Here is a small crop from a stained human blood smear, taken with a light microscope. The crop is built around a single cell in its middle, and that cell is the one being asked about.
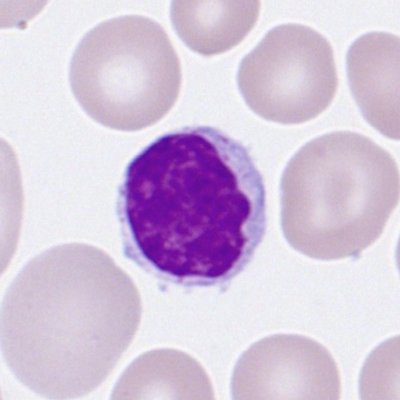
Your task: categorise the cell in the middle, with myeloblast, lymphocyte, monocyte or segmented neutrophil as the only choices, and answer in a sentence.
In this smear crop, the middle cell is a lymphocyte.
